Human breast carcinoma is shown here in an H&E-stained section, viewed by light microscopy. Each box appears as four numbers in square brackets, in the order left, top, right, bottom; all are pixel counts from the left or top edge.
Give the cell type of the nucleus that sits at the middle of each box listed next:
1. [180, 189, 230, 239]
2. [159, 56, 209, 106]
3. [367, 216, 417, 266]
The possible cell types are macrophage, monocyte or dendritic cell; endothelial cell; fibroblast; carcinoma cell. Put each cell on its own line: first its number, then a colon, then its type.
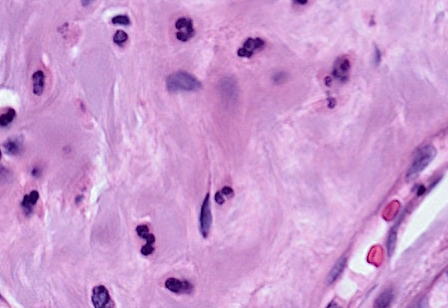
1: fibroblast
2: fibroblast
3: endothelial cell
